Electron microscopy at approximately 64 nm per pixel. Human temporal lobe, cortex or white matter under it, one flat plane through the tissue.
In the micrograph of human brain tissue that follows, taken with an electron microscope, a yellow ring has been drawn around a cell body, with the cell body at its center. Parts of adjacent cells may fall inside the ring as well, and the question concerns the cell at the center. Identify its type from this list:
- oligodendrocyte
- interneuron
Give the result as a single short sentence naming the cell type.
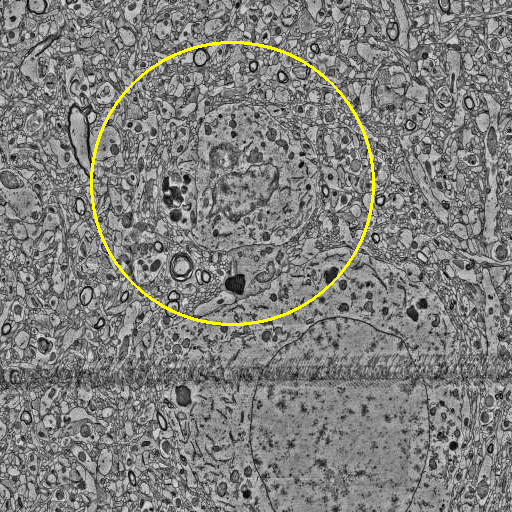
The ring is centered on an interneuron.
